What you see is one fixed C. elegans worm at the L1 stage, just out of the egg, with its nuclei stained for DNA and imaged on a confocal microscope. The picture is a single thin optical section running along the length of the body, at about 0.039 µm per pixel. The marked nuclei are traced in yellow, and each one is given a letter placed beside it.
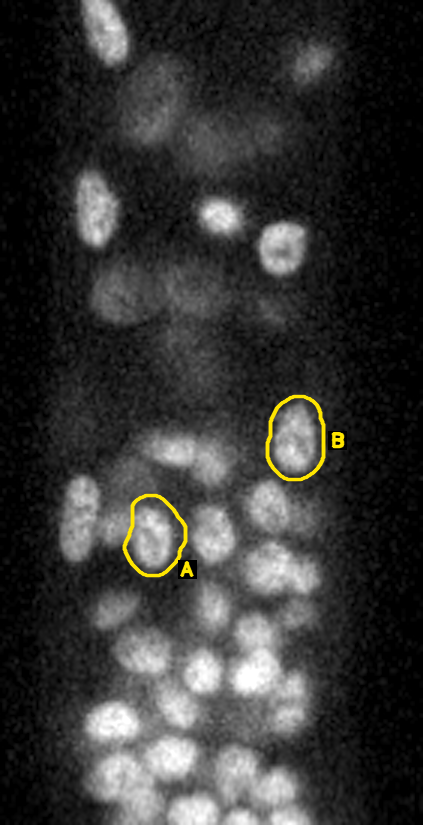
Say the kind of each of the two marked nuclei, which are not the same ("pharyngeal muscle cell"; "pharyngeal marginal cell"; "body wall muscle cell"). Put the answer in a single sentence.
B belongs to a body wall muscle cell, and A to a pharyngeal marginal cell.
